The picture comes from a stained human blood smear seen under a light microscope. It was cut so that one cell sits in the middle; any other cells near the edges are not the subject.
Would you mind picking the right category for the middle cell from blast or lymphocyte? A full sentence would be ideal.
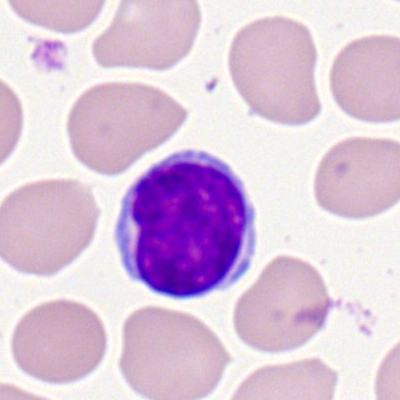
The cell in the exact centre of the crop is a lymphocyte.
